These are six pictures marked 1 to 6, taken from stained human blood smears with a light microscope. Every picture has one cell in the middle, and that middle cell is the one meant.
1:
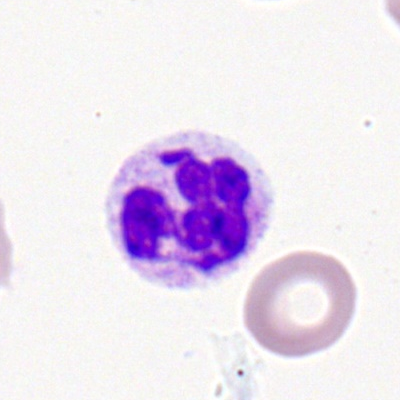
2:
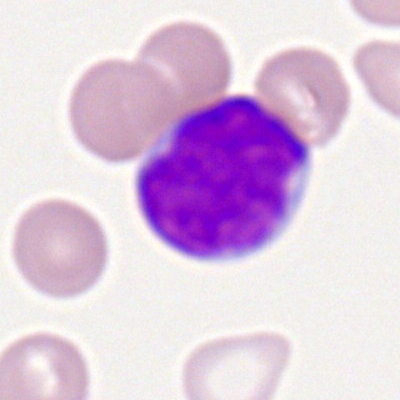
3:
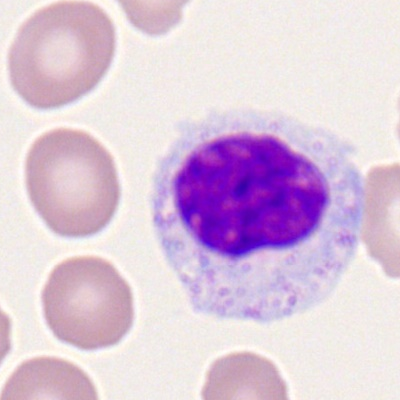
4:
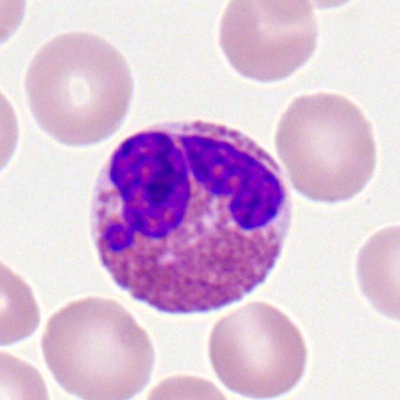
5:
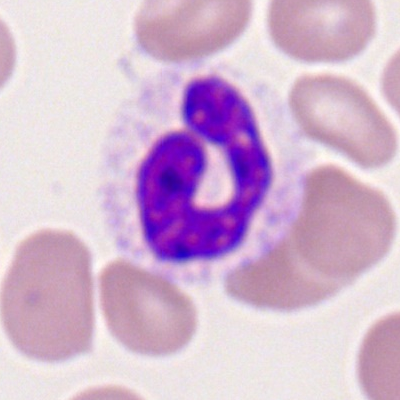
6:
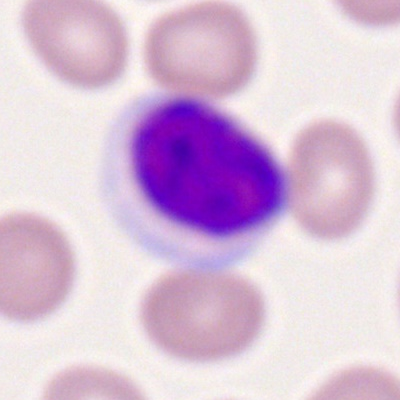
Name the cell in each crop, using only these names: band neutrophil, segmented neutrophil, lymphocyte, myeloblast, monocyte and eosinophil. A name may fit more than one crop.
1: segmented neutrophil
2: myeloblast
3: lymphocyte
4: eosinophil
5: band neutrophil
6: lymphocyte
